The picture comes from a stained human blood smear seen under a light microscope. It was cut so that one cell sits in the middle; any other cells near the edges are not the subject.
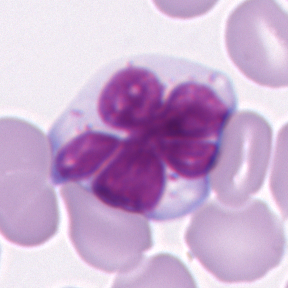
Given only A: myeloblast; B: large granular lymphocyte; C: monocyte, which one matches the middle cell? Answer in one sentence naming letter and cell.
The correct option here is B; the middle cell is a large granular lymphocyte.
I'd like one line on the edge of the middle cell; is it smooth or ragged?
No surface projections are present; the cell outline is smooth.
